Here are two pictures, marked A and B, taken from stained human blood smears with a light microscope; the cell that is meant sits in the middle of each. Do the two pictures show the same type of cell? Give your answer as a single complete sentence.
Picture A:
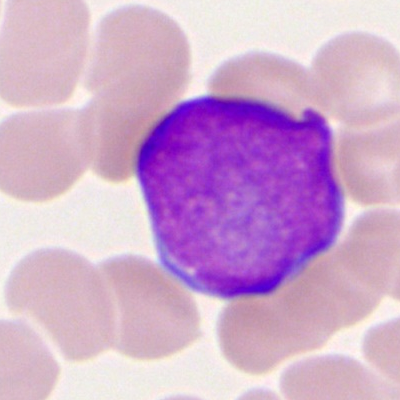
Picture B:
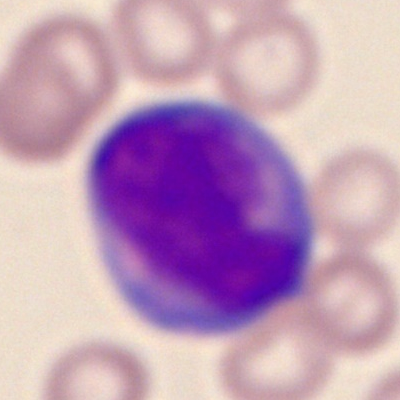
Yes, the two pictures both show myeloblasts.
